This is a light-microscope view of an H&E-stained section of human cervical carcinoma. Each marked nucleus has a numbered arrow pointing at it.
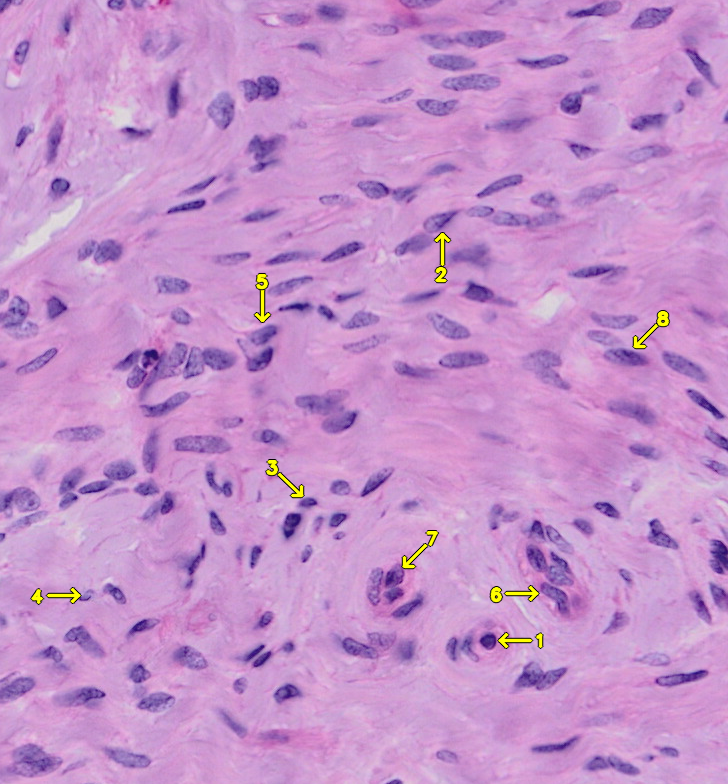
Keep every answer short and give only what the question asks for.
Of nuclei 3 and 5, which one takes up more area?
5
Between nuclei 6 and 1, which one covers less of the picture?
1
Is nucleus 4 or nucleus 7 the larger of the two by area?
7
